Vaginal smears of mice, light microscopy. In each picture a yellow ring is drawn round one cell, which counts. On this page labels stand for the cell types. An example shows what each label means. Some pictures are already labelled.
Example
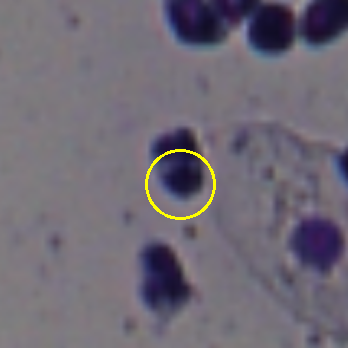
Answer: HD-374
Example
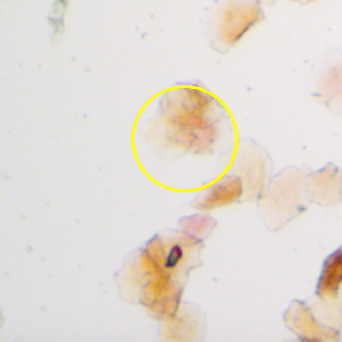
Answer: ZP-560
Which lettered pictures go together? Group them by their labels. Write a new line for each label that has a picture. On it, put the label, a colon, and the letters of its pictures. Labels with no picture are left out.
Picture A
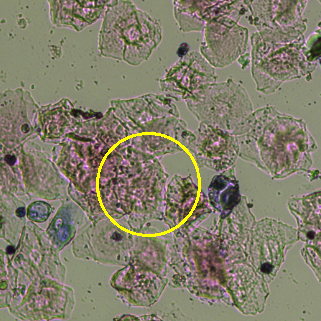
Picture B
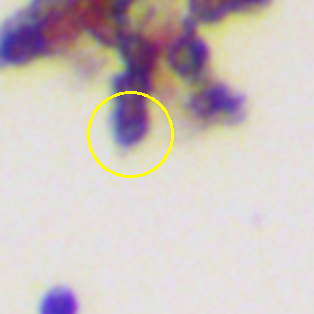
HD-374: B
ZP-560: A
